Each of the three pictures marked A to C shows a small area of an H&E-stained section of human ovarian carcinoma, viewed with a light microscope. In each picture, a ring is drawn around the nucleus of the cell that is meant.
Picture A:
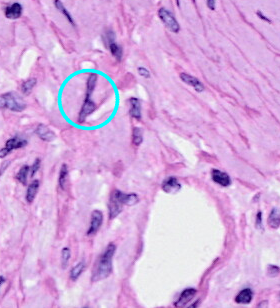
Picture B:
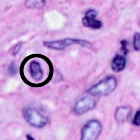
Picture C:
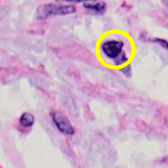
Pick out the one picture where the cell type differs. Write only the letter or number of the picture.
A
